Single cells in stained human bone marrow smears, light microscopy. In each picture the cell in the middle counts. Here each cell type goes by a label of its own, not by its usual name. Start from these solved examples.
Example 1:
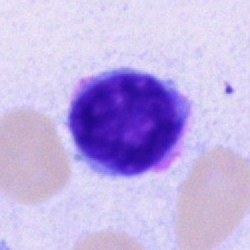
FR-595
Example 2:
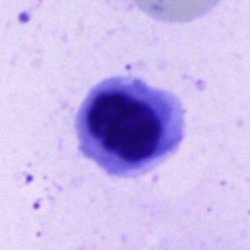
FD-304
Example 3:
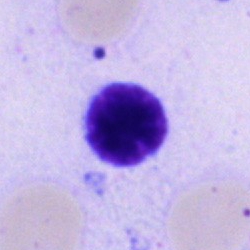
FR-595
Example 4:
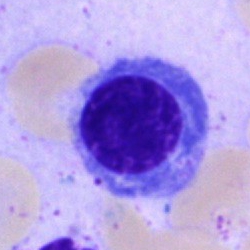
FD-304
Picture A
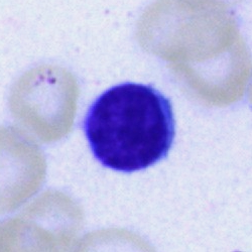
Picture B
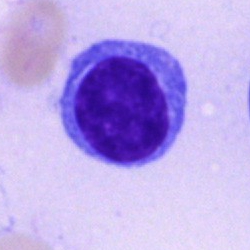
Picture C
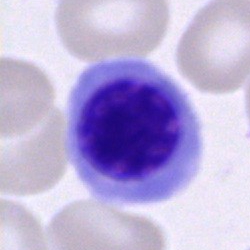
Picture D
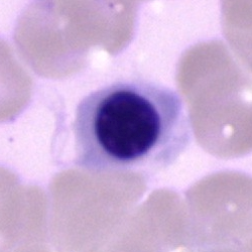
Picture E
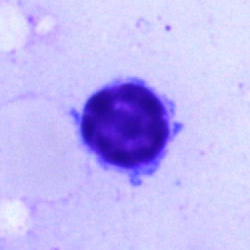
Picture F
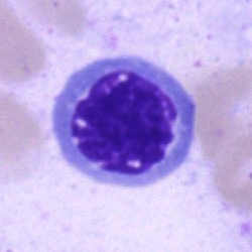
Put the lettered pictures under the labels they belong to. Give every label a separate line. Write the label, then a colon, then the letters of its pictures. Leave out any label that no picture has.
FR-595: A, B, E
FD-304: C, D, F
